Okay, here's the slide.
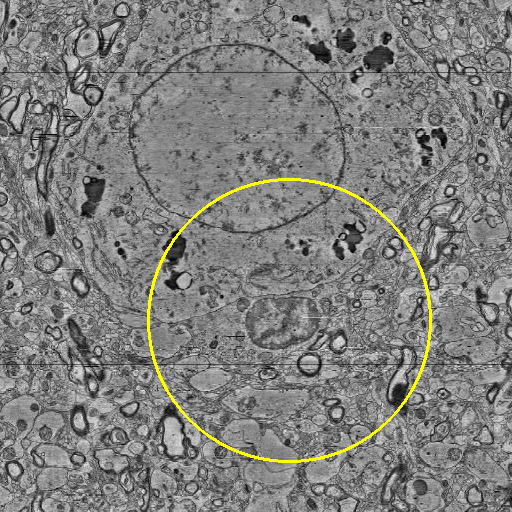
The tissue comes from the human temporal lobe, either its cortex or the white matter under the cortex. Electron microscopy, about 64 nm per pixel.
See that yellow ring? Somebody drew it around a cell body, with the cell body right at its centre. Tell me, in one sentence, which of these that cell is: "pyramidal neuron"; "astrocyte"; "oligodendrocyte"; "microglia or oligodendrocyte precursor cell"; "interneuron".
The cell in the middle of the ring is an oligodendrocyte.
